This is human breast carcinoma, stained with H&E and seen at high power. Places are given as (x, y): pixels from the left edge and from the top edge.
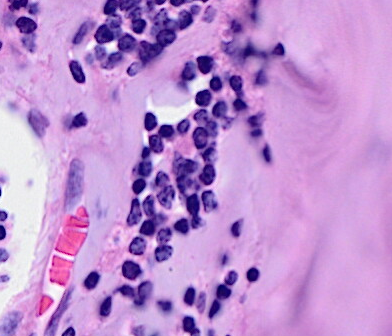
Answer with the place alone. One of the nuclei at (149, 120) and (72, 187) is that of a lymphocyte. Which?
(149, 120)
